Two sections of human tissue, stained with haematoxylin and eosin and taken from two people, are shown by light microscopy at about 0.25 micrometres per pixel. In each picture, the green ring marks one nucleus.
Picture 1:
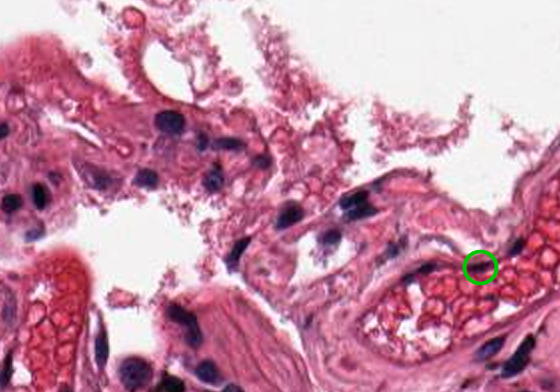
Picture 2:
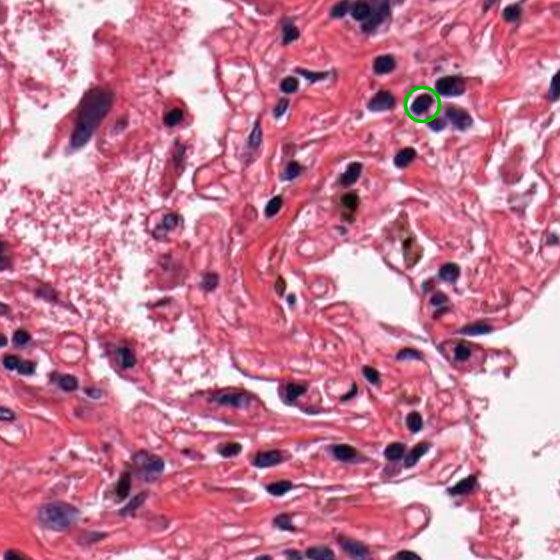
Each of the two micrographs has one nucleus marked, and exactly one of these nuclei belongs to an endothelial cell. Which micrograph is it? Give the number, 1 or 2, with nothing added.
1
